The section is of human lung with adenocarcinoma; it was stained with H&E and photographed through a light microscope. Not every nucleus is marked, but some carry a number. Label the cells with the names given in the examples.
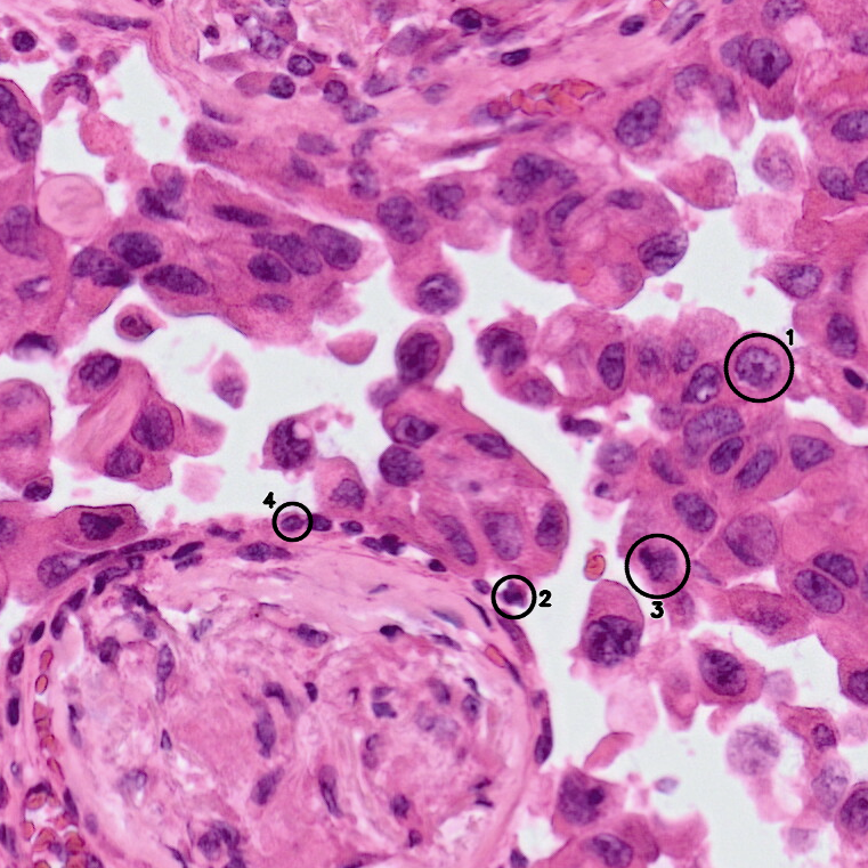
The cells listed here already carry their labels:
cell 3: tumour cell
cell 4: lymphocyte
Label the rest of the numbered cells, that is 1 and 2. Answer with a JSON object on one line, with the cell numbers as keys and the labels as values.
{"1": "tumour cell", "2": "lymphocyte"}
